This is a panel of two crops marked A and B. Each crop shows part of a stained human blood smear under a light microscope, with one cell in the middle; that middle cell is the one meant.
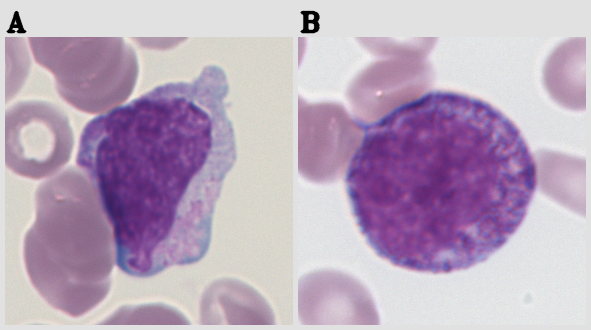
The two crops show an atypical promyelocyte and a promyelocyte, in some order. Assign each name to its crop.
A: atypical promyelocyte
B: promyelocyte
